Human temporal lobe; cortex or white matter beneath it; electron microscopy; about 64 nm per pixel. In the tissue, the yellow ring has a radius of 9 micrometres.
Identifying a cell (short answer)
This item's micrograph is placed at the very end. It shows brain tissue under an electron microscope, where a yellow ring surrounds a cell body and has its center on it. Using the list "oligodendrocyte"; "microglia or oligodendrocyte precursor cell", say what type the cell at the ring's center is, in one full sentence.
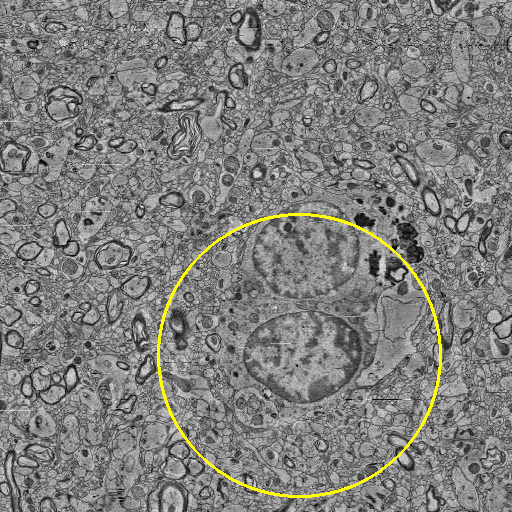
This picture shows an oligodendrocyte at the center of the yellow ring drawn on it.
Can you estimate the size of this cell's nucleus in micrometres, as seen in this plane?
About 7 by 6 micrometers for the nucleus, in this plane.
